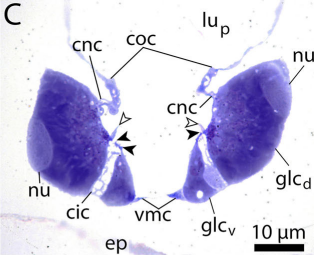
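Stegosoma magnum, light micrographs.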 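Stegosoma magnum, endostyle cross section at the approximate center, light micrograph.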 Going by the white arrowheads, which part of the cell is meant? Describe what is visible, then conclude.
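Cilia from gland cells. Thin hair-like projections lie at the lumen-facing edge of the large dark cells.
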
